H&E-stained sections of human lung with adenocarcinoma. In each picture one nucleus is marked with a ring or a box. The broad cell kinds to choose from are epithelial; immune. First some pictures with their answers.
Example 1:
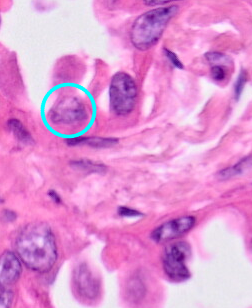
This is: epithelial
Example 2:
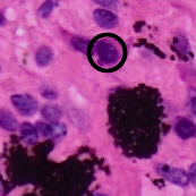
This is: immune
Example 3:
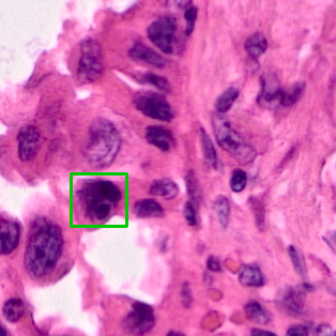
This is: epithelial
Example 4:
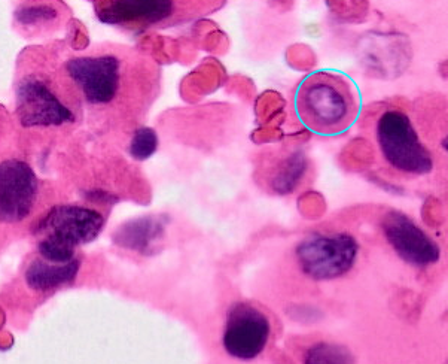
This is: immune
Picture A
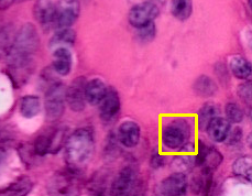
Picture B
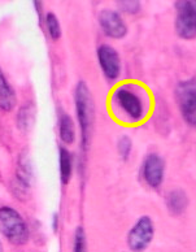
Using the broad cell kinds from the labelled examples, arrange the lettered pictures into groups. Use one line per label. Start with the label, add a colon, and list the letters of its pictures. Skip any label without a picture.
epithelial: A
immune: B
